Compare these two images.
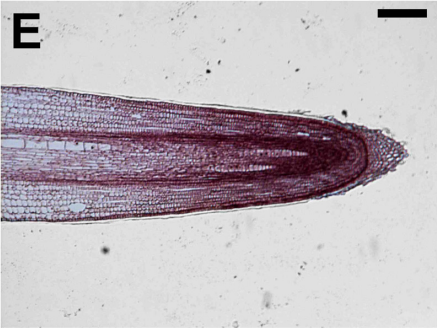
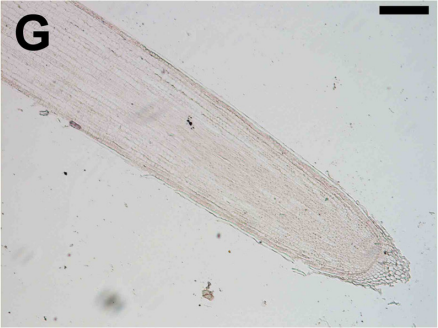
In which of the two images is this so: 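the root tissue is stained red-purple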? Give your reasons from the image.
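Second image: the root apex is pale beige with no red-purple color. First image: the root apex is stained red-purple, darkest toward the tip.
The first image.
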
